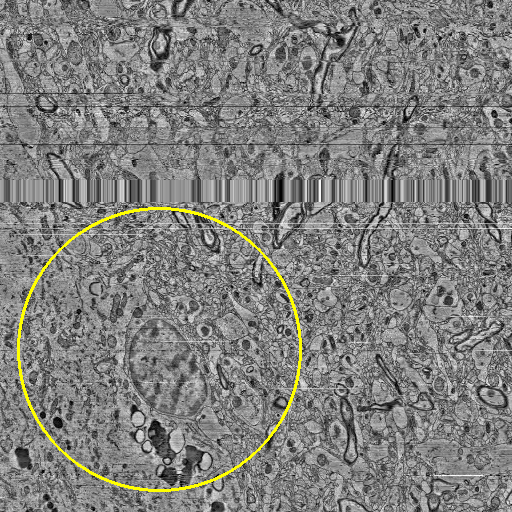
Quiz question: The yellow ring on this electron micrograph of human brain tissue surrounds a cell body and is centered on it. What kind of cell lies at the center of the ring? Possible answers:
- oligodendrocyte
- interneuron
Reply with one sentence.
The ring's center lies on an oligodendrocyte.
